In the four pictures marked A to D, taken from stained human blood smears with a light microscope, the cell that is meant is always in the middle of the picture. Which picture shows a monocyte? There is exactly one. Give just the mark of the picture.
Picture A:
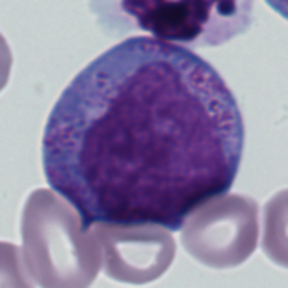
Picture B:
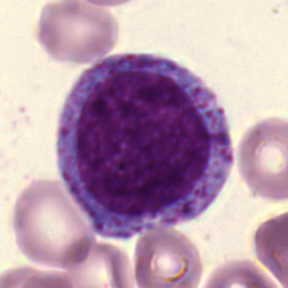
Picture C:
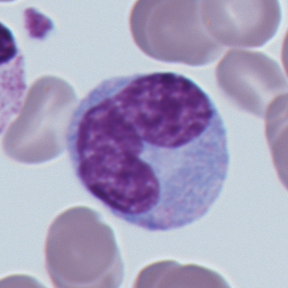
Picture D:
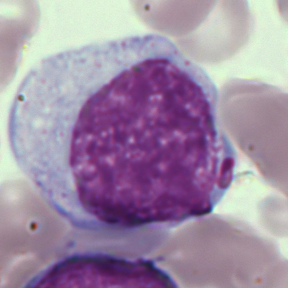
C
